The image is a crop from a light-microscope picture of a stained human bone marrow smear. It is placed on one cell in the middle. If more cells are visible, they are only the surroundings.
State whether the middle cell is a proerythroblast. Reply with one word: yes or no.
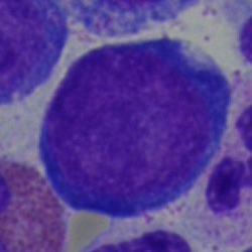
yes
